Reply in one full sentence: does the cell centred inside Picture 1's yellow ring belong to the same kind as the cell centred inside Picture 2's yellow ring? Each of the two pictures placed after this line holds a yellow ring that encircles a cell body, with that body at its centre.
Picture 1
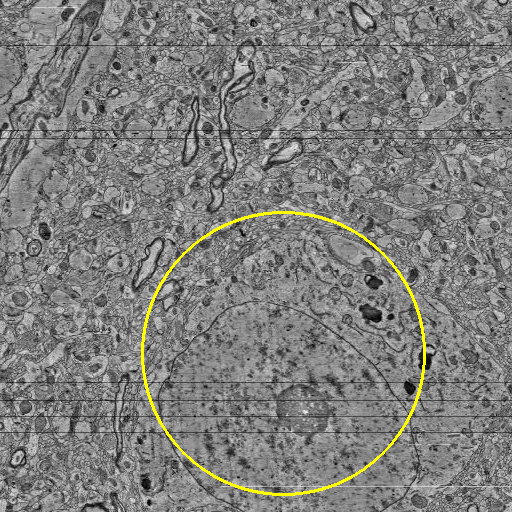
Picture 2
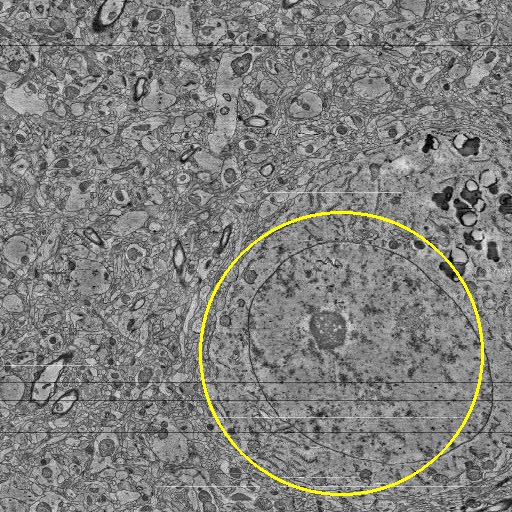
Yes, the ring-centred cells in Picture 1 and Picture 2 are of one and the same kind.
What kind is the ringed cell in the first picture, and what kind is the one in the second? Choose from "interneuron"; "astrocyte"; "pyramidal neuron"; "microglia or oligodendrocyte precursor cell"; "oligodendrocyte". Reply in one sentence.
Both pictures show a pyramidal neuron at the centre of the ring.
